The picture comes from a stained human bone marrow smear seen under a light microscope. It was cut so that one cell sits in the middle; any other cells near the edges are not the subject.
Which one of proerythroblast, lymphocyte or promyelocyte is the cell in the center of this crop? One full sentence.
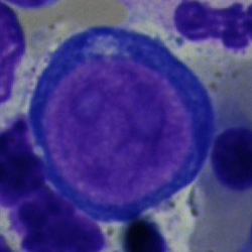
In the middle of this smear crop, the cell is a proerythroblast.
